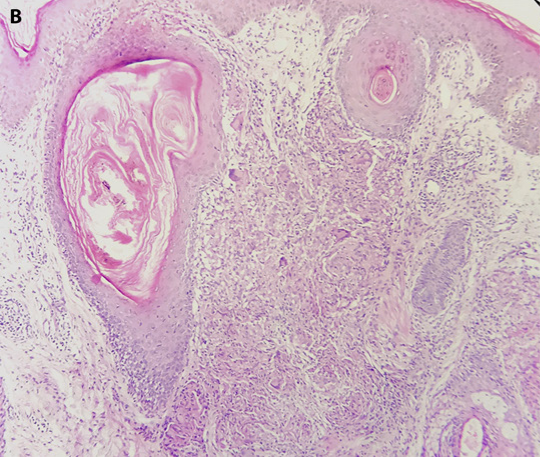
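Skin section with a thickened epidermis at the top and a hair follicle distended by a large plug of layered pink keratin. Beside the follicle the dermis is filled by a dense nodular infiltrate made mostly of pale pink cells with oval, pale nuclei.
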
